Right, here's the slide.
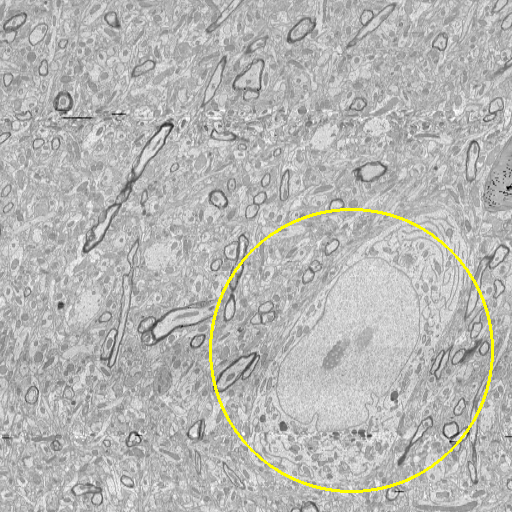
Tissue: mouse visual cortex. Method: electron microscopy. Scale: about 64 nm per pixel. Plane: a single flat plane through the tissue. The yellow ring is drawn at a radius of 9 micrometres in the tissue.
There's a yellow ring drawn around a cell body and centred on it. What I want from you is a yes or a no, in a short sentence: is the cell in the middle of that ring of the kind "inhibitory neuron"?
Yes, it's of that kind.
